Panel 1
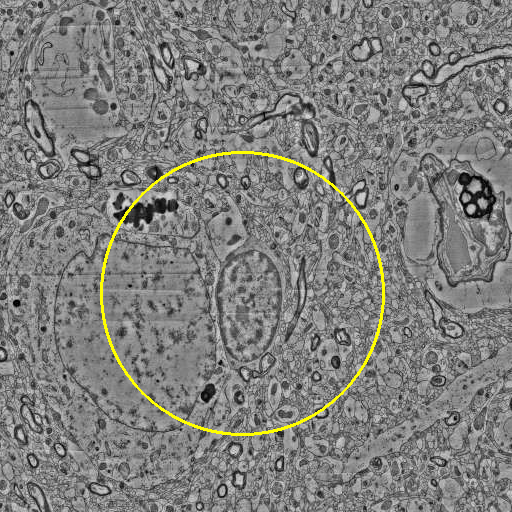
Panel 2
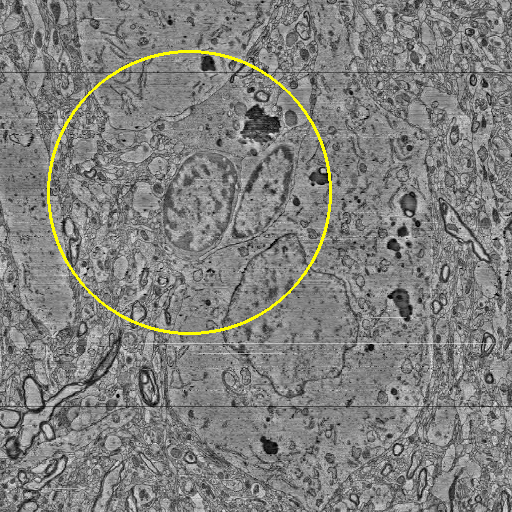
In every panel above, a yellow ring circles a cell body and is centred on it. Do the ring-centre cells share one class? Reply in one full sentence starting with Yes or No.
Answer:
Yes, the two cells at the ring centres in the panels belong to one class.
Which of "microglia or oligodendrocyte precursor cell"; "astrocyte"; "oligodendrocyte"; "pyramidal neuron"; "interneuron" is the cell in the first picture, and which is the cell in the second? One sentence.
In both pictures the ring is centred on an oligodendrocyte.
